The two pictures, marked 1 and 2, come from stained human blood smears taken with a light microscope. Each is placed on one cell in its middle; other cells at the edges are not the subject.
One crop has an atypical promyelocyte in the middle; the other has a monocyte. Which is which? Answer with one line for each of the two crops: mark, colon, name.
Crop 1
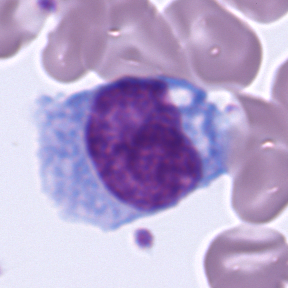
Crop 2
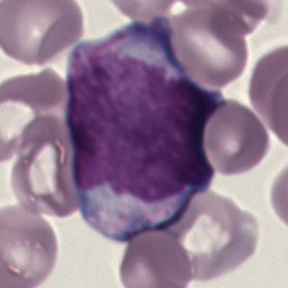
1: monocyte
2: atypical promyelocyte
